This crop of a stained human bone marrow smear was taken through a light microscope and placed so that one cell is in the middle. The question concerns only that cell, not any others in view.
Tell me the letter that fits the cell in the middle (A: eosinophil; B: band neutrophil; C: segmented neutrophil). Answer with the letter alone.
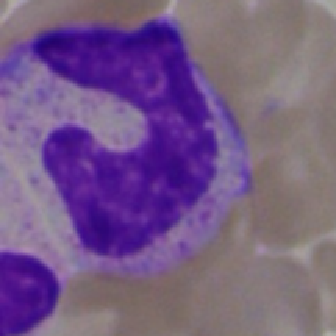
B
